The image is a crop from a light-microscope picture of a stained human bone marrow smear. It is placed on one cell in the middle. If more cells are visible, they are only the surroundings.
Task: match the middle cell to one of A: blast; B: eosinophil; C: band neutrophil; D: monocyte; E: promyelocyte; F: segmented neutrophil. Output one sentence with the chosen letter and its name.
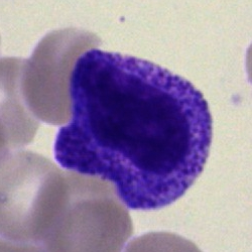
For this crop, option E is right, the centered cell being a promyelocyte.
